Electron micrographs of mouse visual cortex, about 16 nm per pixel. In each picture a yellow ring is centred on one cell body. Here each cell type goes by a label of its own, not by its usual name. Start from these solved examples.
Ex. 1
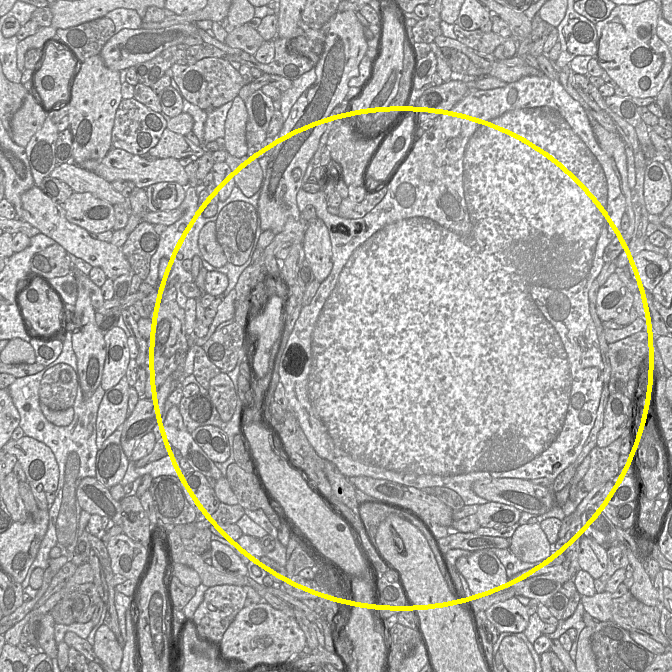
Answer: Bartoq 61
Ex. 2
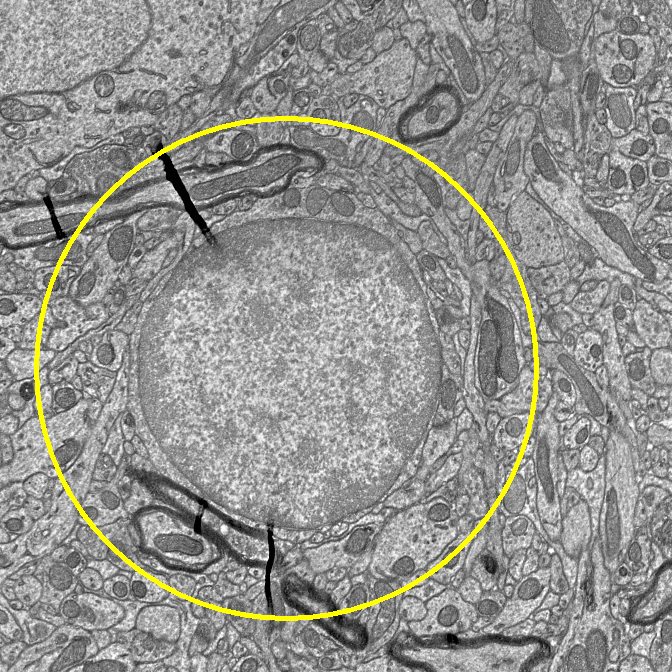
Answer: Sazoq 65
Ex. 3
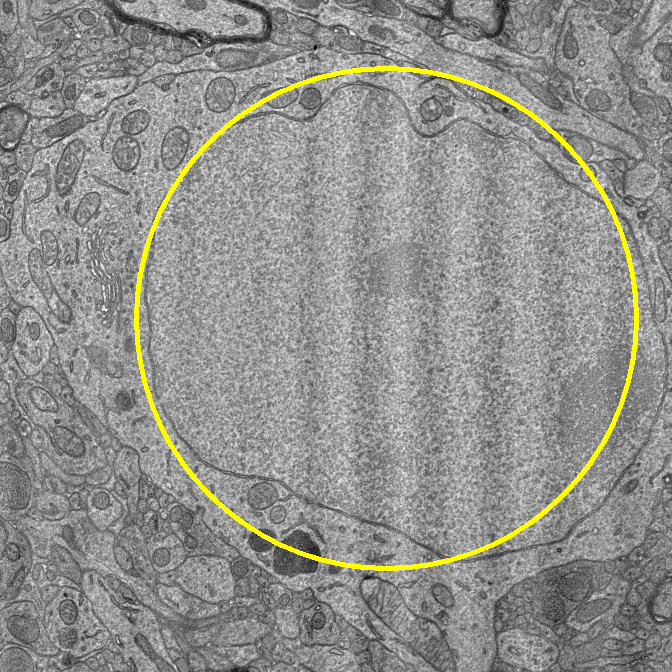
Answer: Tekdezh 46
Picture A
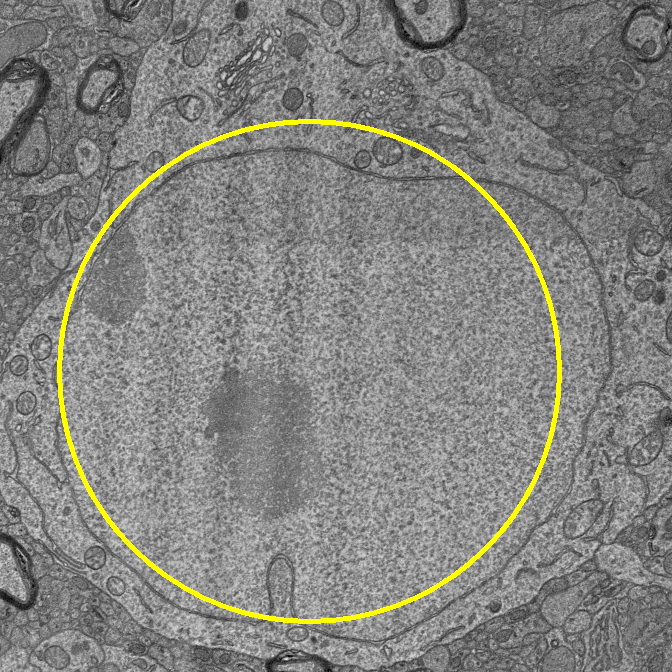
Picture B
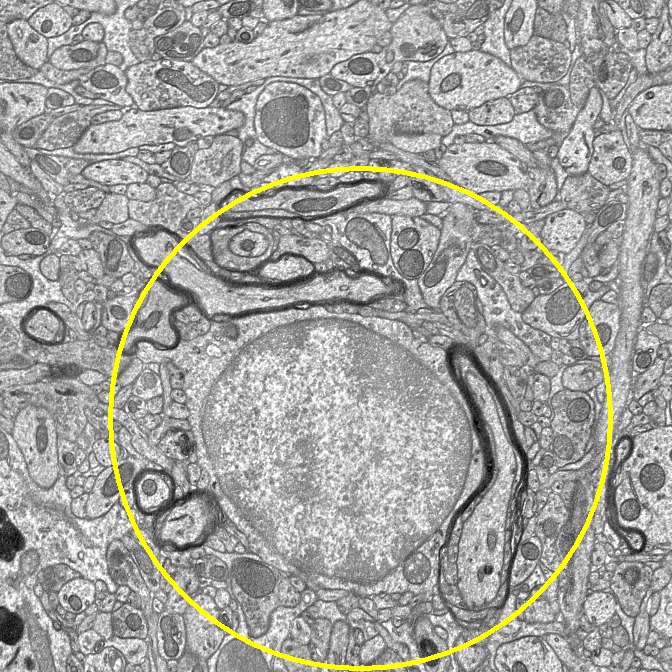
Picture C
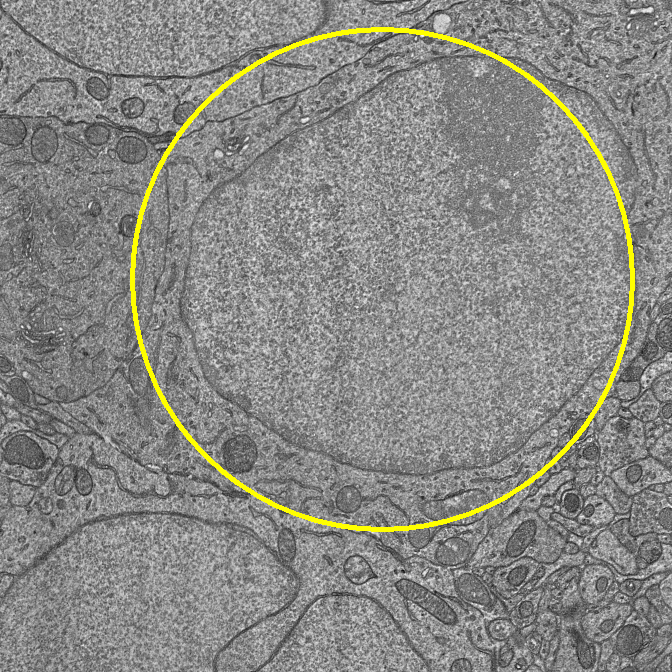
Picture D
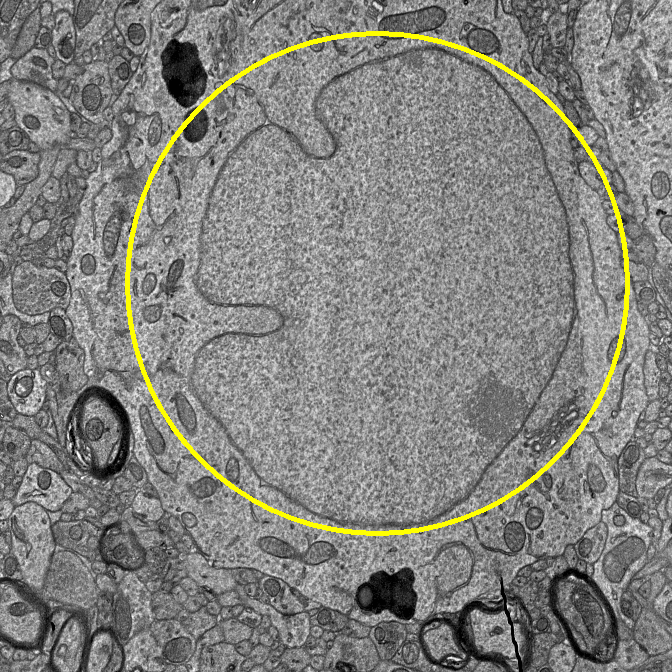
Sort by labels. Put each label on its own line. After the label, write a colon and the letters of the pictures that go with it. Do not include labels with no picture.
Sazoq 65: B, C
Tekdezh 46: A, D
